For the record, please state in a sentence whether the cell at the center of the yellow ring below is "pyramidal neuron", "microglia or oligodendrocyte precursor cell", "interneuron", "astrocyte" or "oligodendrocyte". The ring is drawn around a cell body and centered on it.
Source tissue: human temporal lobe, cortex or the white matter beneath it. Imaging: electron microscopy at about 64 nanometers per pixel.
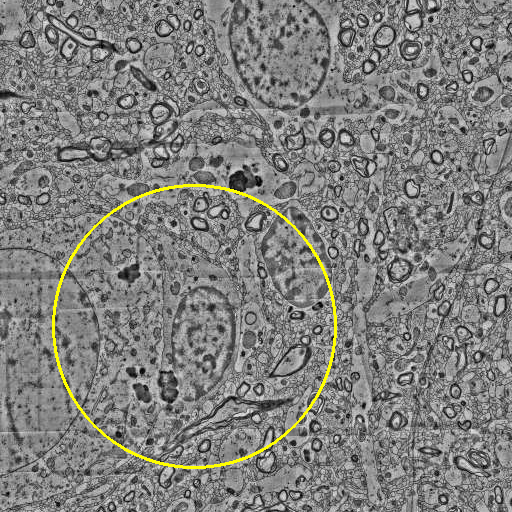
The cell at the ring's center is an oligodendrocyte.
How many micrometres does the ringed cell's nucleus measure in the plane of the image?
Roughly 7 by 4 micrometers, clearly longer than it is wide in this plane.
